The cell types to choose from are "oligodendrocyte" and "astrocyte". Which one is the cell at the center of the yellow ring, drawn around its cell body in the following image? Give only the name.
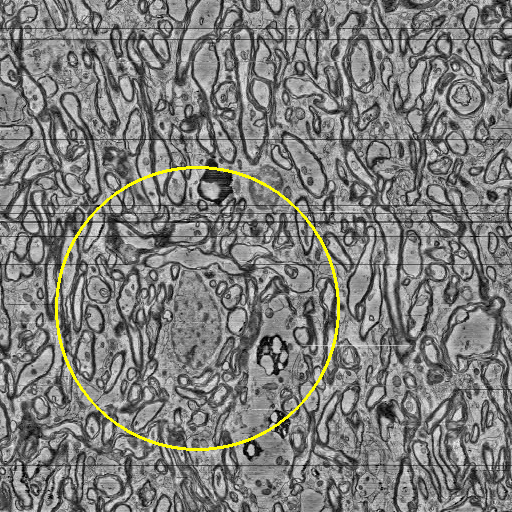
astrocyte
